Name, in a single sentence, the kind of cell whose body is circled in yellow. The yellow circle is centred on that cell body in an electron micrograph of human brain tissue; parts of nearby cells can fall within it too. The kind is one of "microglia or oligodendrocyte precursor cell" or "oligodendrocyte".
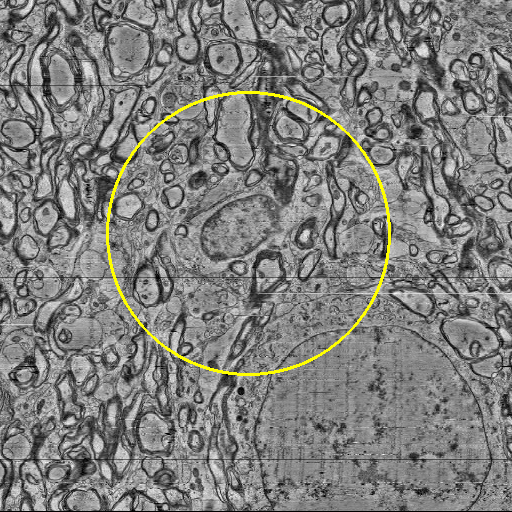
The circled cell body belongs to a microglial cell or oligodendrocyte precursor cell.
